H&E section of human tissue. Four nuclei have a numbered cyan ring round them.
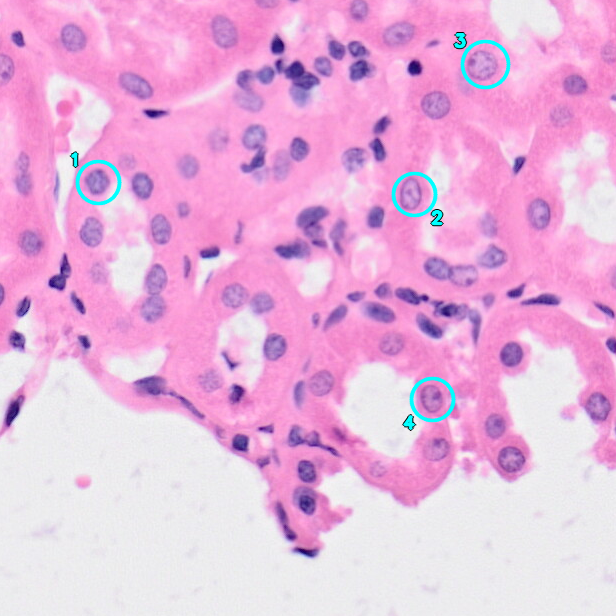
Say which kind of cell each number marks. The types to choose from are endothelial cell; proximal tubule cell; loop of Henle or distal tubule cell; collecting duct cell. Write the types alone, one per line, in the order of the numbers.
loop of Henle or distal tubule cell
proximal tubule cell
proximal tubule cell
proximal tubule cell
